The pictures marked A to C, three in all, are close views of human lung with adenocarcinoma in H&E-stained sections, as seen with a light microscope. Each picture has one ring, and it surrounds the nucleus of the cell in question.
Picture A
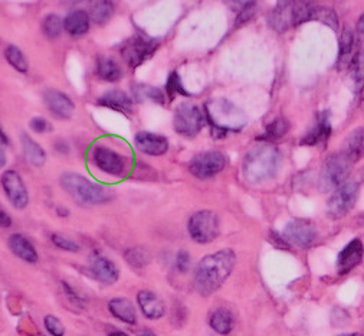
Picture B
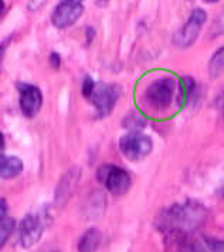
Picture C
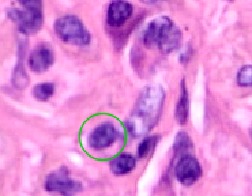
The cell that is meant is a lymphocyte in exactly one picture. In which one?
C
